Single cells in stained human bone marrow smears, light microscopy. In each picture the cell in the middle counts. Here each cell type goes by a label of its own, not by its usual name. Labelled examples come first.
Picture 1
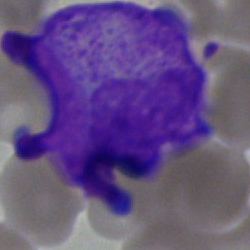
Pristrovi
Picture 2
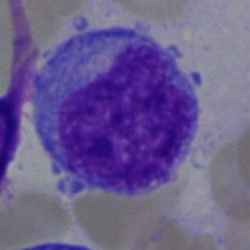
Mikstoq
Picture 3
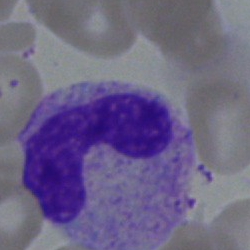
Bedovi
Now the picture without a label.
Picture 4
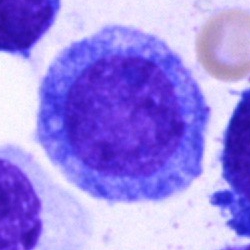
Mikstoq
